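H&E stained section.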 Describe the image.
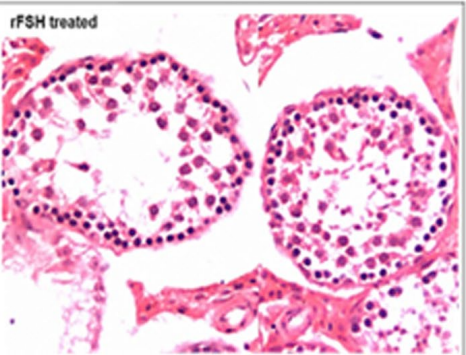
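Two cross-sectioned seminiferous tubules are shown, filled with germ cells. Pink interstitial connective tissue separates the tubules.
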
